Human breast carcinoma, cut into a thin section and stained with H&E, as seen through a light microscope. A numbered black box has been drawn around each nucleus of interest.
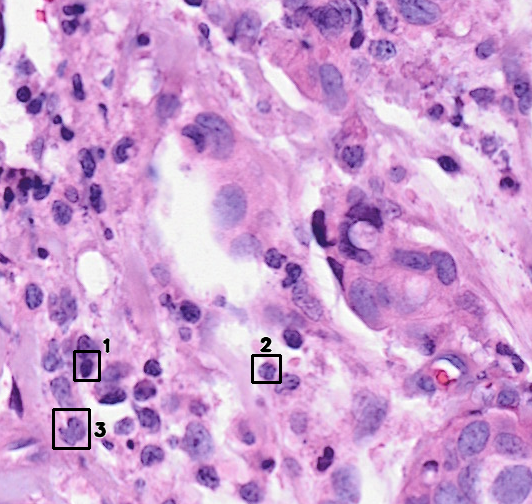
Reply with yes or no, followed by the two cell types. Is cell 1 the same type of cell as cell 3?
No, the cell labelled 1 is a lymphocyte; the cell labelled 3 is a macrophage, monocyte or dendritic cell.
